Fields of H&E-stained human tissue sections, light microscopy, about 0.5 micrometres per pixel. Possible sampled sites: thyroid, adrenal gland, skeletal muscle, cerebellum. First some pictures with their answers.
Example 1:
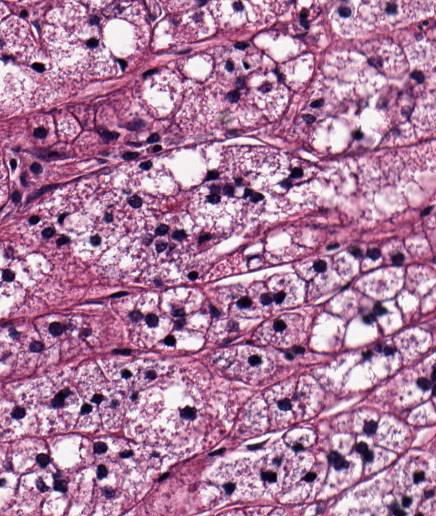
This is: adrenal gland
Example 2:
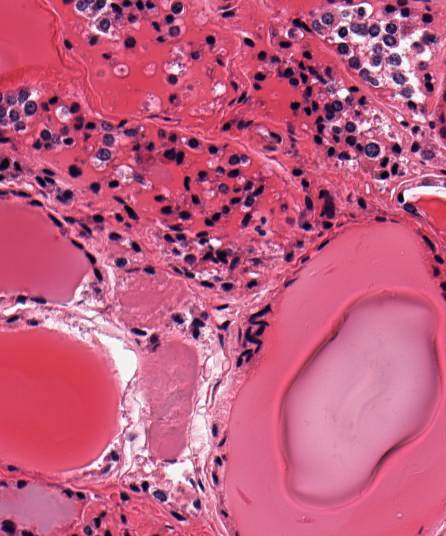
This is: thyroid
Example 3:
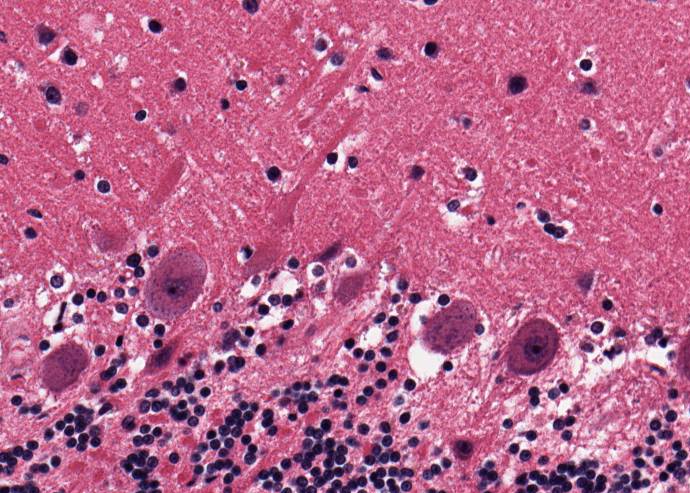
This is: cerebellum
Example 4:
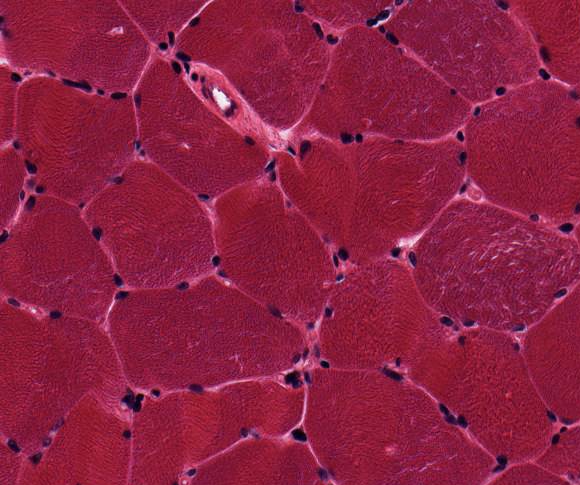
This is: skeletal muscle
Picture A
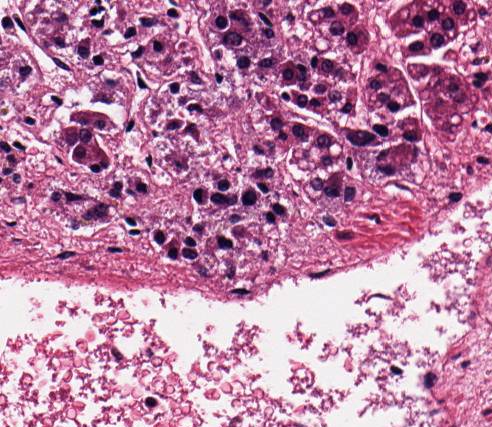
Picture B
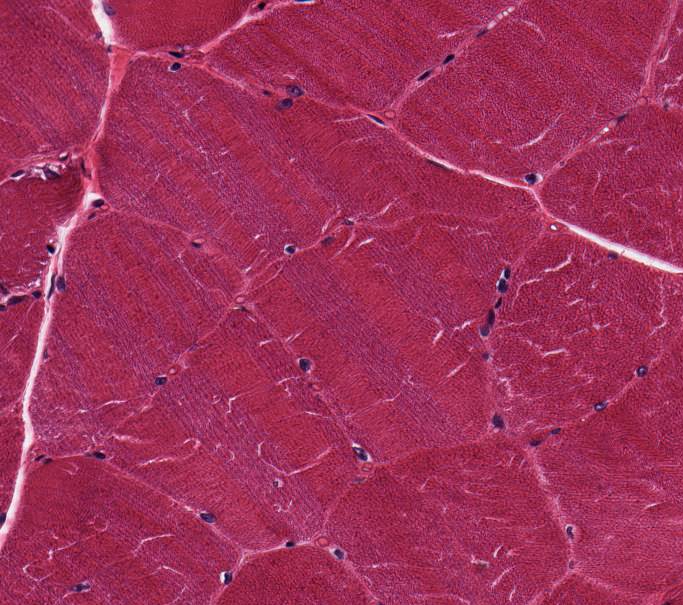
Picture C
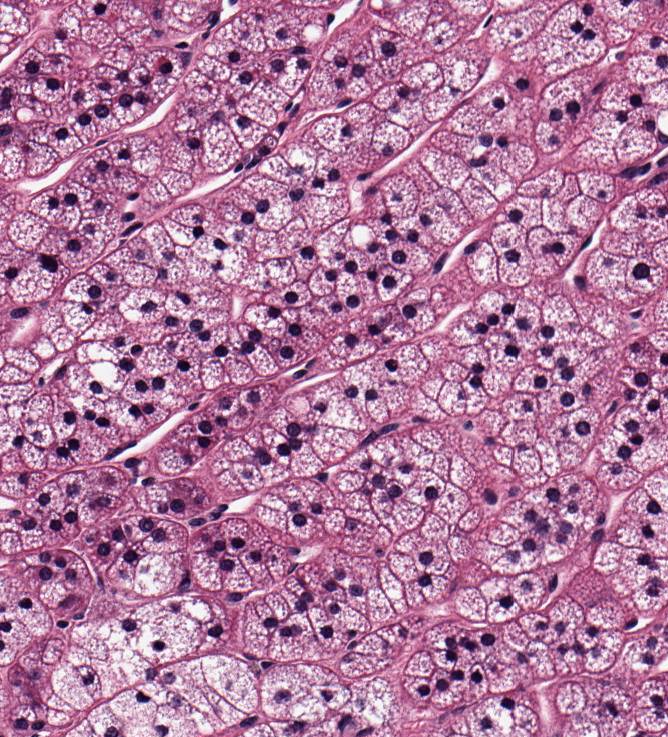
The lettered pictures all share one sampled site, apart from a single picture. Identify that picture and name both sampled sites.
Exception: B, showing skeletal muscle. Remaining pictures: adrenal gland.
